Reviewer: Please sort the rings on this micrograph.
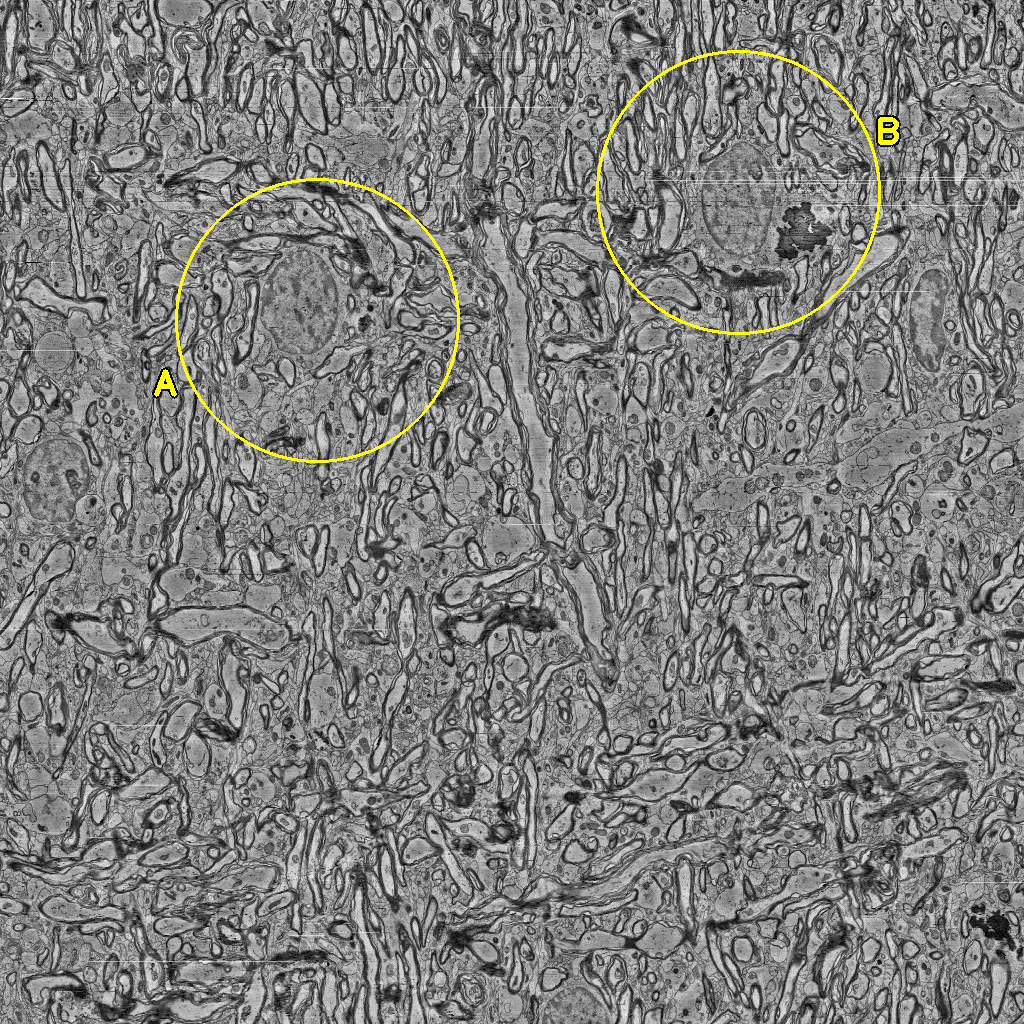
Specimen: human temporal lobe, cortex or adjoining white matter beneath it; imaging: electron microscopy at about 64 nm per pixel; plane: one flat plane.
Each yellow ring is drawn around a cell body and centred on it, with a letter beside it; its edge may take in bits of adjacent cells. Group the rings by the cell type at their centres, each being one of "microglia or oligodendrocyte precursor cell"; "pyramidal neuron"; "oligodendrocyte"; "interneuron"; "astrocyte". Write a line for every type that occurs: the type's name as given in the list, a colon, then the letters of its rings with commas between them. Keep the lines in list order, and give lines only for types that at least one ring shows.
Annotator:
oligodendrocyte: A, B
